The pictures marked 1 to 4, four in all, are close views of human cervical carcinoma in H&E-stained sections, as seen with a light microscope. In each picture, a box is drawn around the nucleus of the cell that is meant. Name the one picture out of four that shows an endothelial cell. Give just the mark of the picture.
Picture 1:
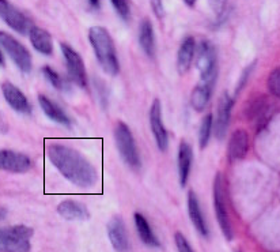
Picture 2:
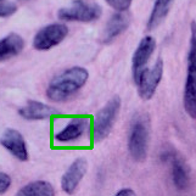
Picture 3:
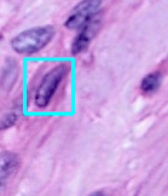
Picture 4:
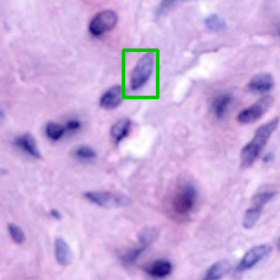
3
